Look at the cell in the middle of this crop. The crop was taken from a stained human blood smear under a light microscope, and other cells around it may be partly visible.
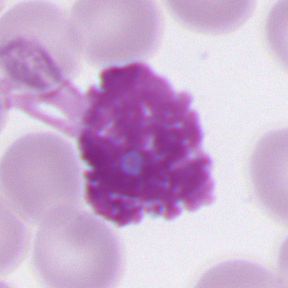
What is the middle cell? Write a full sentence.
In the middle of this smear crop is a smudge cell.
